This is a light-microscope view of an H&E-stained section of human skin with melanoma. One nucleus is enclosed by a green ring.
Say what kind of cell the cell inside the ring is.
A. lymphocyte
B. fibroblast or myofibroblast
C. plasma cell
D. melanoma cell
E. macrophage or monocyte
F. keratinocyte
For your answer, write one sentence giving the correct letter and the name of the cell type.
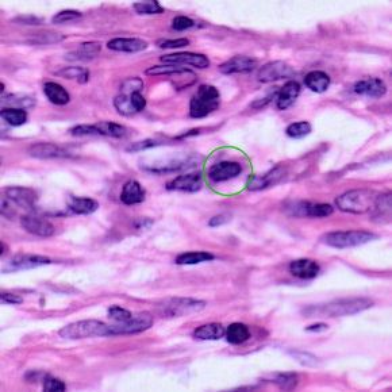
Option C is the one that fits, as the cell inside the ring is a plasma cell.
